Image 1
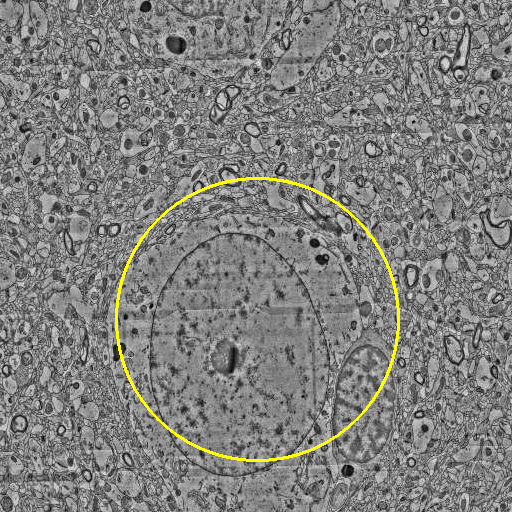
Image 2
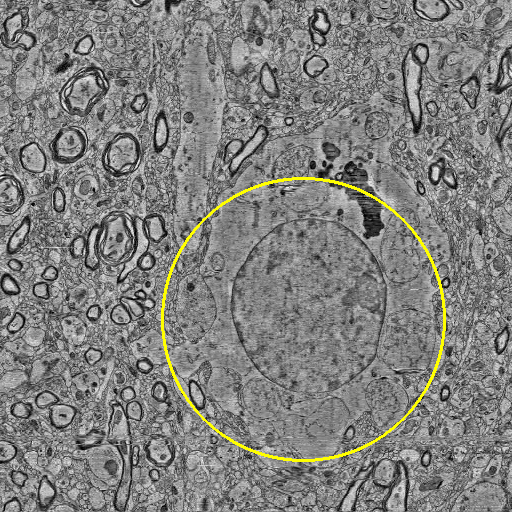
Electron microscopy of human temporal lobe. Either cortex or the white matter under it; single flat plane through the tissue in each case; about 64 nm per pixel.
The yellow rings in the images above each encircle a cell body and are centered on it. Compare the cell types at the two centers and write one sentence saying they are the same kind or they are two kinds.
Taken together, the two cells at the ring centers are two kinds.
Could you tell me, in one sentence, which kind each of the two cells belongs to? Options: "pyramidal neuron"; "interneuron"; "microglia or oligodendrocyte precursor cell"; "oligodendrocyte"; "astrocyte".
At the centre of the first ring sits a pyramidal neuron, and at the centre of the second sits an astrocyte.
